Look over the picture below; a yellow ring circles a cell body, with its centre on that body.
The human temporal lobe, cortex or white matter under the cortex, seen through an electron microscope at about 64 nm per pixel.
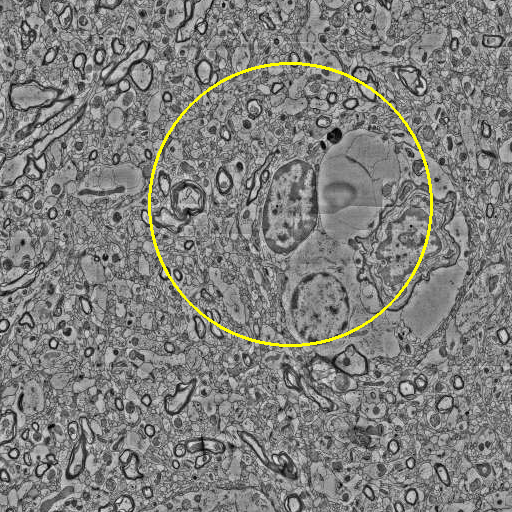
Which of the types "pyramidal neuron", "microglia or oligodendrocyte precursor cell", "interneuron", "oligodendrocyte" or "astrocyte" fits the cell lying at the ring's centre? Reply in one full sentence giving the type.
The picture shows a microglial cell or oligodendrocyte precursor cell at the centre of the yellow ring.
